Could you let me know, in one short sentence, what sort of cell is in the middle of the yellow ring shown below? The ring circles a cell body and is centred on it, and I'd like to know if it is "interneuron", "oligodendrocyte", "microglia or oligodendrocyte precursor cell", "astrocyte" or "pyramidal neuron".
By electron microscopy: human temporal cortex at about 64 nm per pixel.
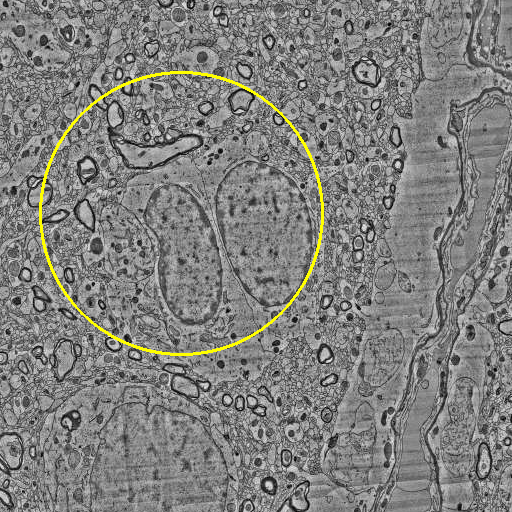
The ring circles the cell body of a microglial cell or oligodendrocyte precursor cell.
